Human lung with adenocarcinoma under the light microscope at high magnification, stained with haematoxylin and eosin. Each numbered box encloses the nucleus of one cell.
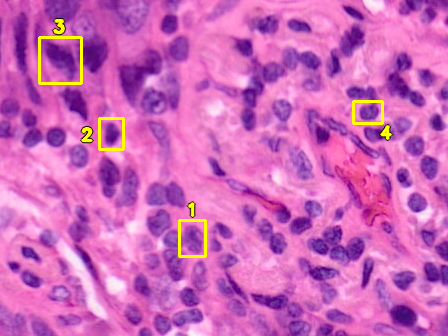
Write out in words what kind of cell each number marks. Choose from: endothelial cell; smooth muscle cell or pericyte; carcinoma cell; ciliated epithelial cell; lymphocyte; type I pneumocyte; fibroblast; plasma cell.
Cell 1 is a lymphocyte, cell 2 is a lymphocyte, cell 3 is a carcinoma cell and cell 4 is a lymphocyte.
